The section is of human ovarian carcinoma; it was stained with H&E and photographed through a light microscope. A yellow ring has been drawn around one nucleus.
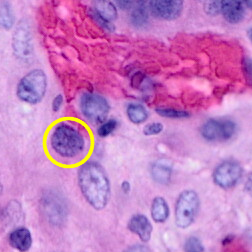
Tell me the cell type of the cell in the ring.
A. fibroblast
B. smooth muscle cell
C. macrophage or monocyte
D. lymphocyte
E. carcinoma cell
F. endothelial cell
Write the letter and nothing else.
F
